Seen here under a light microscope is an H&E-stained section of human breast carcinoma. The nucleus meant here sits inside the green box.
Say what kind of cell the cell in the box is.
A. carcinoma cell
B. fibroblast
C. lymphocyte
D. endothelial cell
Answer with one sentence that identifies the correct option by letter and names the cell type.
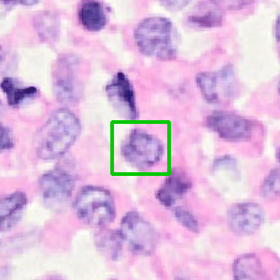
As stated in option A, the cell in the box is a carcinoma cell.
